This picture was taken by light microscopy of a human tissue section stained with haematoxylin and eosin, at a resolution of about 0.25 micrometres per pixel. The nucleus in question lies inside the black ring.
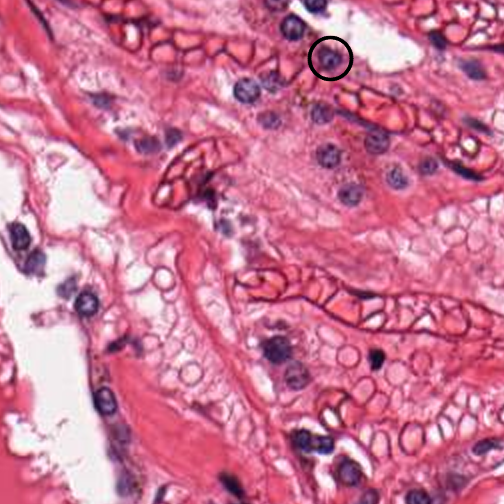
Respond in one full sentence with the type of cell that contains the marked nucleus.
What the marked nucleus belongs to is a thyroid follicular cell.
